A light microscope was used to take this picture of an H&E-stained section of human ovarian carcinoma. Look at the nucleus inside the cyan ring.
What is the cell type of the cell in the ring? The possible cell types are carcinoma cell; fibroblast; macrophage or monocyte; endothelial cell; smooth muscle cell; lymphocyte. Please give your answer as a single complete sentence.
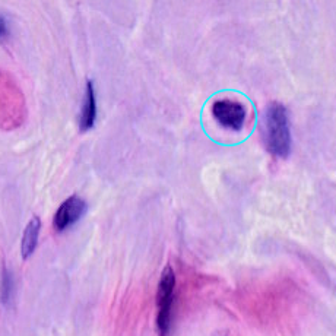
Considered by cell type, the cell in the ring is a lymphocyte.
